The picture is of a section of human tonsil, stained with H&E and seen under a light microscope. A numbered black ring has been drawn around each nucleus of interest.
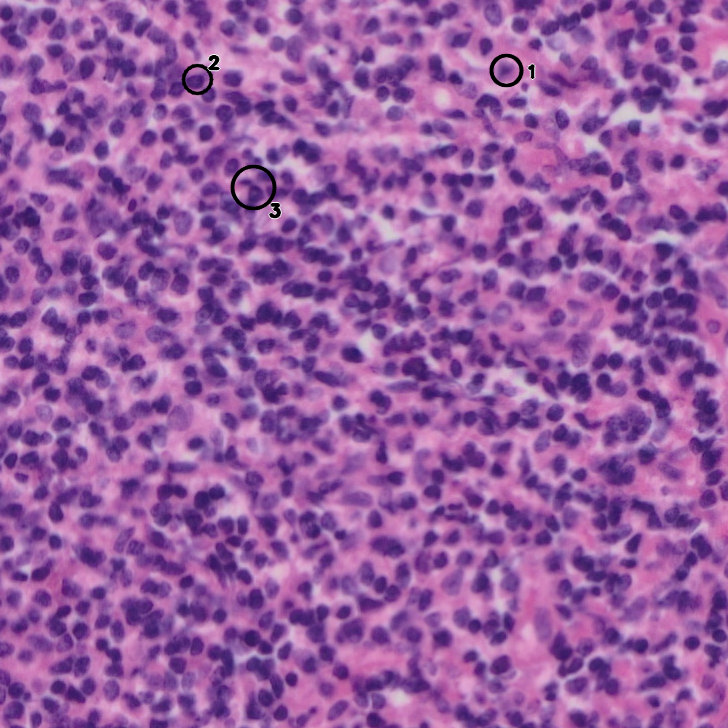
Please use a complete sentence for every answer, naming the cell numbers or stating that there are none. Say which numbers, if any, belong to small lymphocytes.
In short, the numbered cells 2 and 3 are small lymphocytes.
